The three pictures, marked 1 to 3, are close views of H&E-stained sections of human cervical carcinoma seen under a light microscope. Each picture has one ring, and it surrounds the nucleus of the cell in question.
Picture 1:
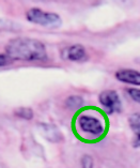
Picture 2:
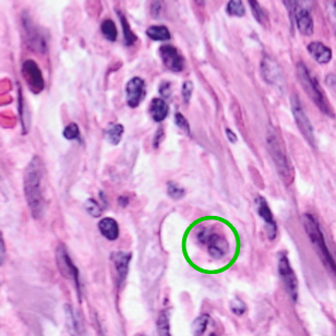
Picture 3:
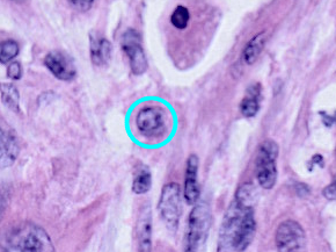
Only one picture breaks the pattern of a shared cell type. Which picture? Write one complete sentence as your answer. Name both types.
Picture 1 is the odd one out: it shows a lymphocyte, while the others show “macrophages or monocytes”.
